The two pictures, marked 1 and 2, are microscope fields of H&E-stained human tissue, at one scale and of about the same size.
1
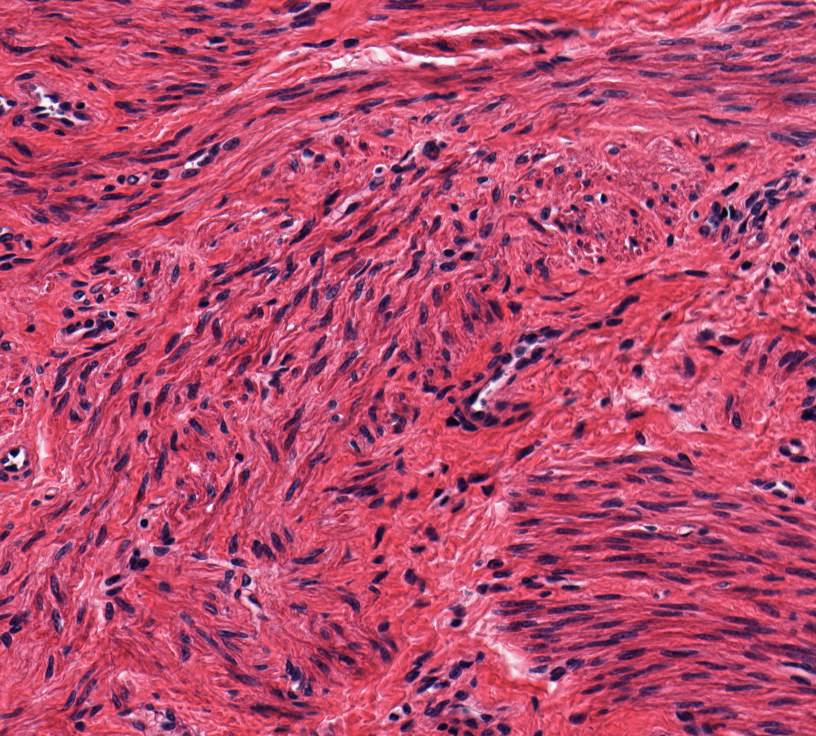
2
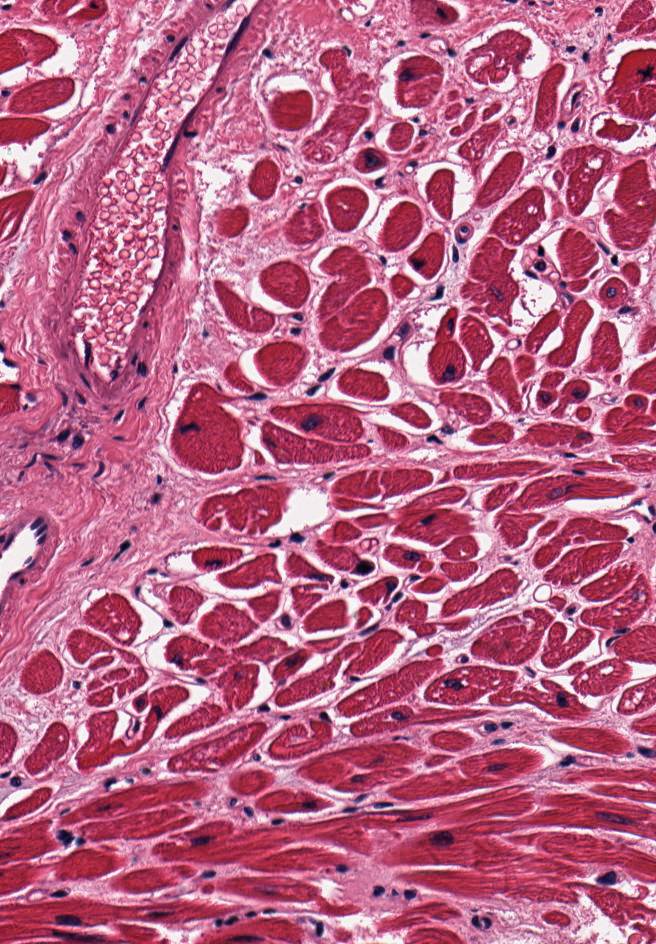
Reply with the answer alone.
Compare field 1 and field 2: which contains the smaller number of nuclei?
2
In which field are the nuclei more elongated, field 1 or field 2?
1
